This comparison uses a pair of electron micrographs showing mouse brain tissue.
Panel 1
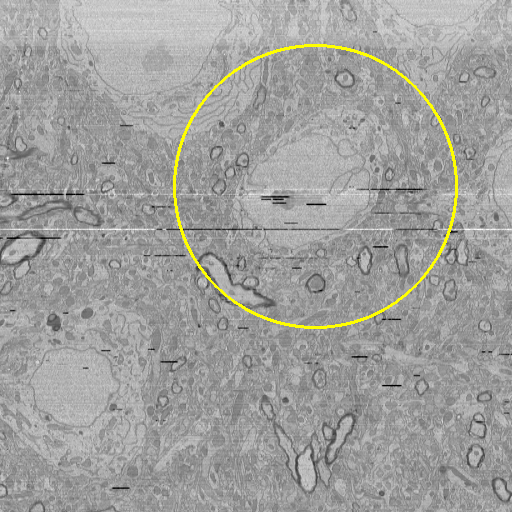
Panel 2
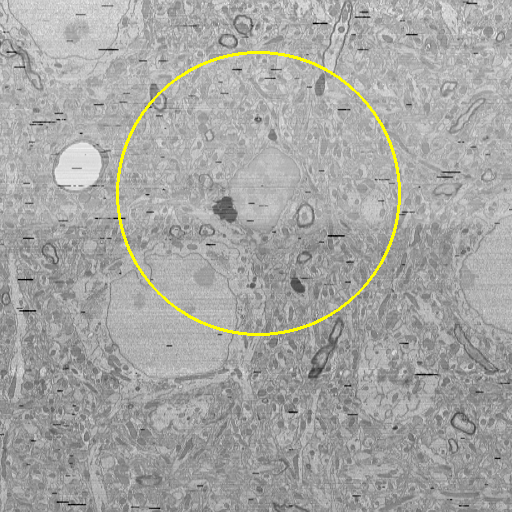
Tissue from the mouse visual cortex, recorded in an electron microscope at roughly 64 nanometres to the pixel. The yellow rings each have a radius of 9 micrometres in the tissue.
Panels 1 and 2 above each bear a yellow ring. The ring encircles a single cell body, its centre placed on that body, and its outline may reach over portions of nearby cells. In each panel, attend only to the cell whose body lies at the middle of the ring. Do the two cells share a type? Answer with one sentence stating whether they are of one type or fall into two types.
In Panel 1 and Panel 2, the cells at the centres of the rings fall into two types.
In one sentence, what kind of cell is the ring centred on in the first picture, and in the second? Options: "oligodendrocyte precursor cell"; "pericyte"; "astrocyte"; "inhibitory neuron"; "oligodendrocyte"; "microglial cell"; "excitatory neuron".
The cell at the centre of the second ring is a microglial cell; the first ring's cell is an inhibitory neuron.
